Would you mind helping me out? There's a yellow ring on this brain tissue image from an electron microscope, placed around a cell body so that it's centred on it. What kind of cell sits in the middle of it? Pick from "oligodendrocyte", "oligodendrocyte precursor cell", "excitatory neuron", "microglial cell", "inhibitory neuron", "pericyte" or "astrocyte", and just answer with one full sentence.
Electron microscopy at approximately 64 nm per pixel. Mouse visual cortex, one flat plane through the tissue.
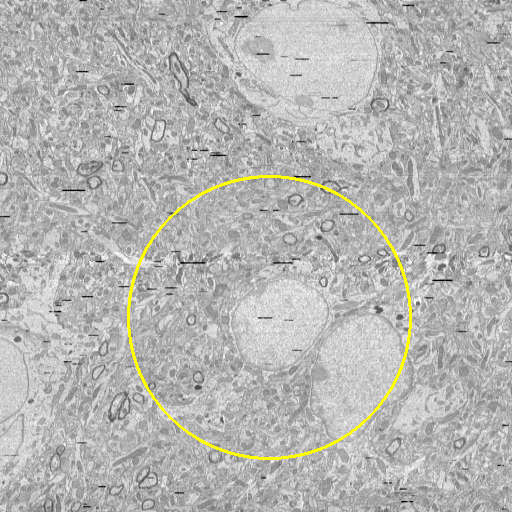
What sits in the middle of that yellow ring is an astrocyte, from your choices.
